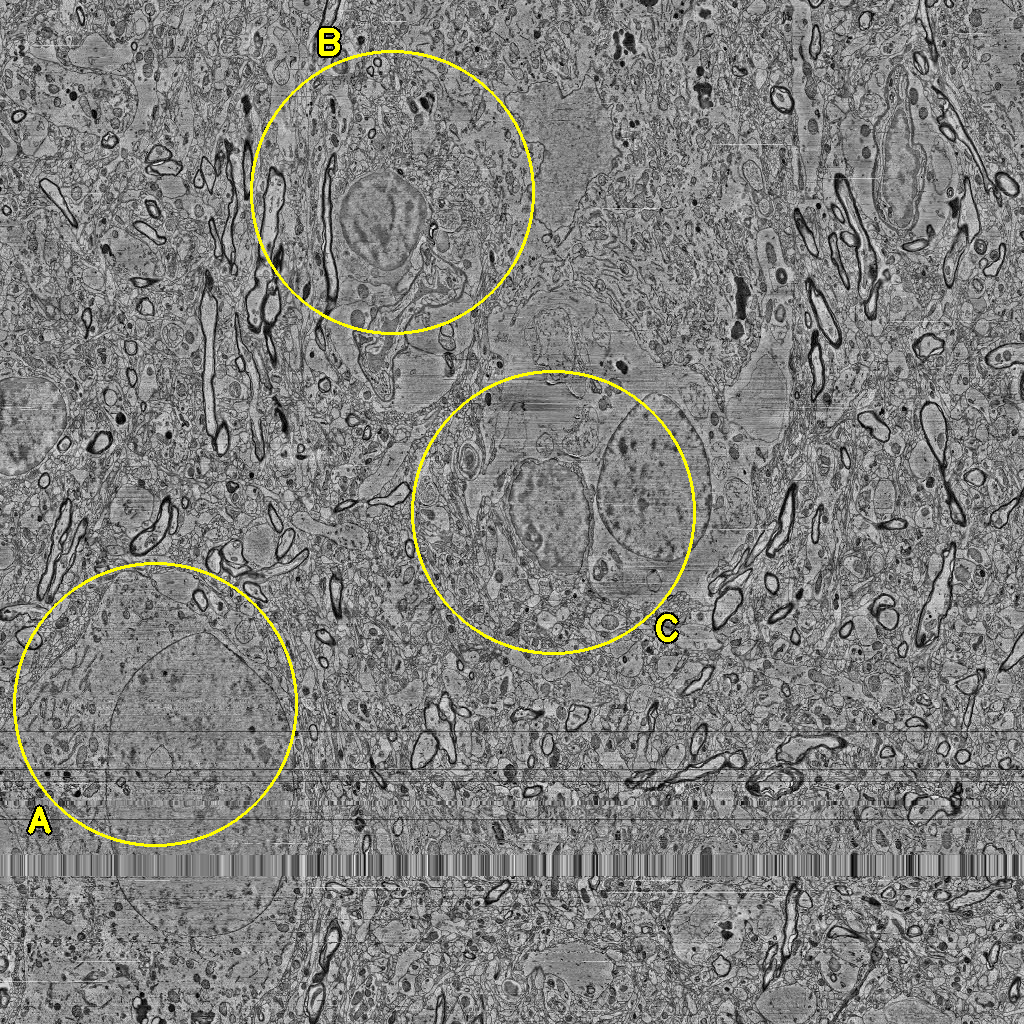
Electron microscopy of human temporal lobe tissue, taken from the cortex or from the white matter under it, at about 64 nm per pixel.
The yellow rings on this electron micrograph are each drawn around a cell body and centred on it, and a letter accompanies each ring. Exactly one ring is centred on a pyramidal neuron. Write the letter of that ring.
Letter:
A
